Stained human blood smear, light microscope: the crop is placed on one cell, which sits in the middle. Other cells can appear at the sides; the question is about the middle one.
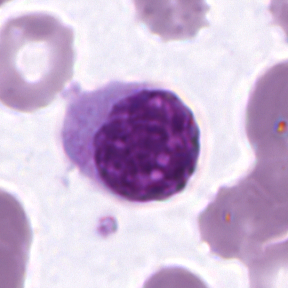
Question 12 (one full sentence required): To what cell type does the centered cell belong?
At the crop's centre, the cell is a plasma cell.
